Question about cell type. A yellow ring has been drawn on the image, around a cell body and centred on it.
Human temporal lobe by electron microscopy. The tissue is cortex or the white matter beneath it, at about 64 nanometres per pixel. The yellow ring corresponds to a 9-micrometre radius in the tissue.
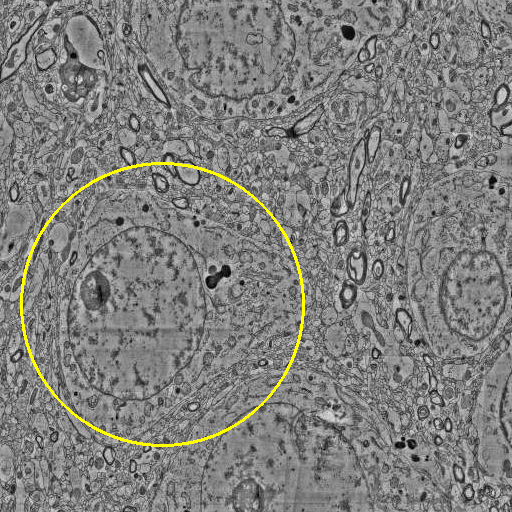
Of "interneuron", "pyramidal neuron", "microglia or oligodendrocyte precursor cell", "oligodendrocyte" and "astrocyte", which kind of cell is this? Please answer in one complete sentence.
At the centre of the ring lies a pyramidal neuron.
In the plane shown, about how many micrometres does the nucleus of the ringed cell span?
Approximately 11 micrometres long and 9 micrometres wide, in this plane.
